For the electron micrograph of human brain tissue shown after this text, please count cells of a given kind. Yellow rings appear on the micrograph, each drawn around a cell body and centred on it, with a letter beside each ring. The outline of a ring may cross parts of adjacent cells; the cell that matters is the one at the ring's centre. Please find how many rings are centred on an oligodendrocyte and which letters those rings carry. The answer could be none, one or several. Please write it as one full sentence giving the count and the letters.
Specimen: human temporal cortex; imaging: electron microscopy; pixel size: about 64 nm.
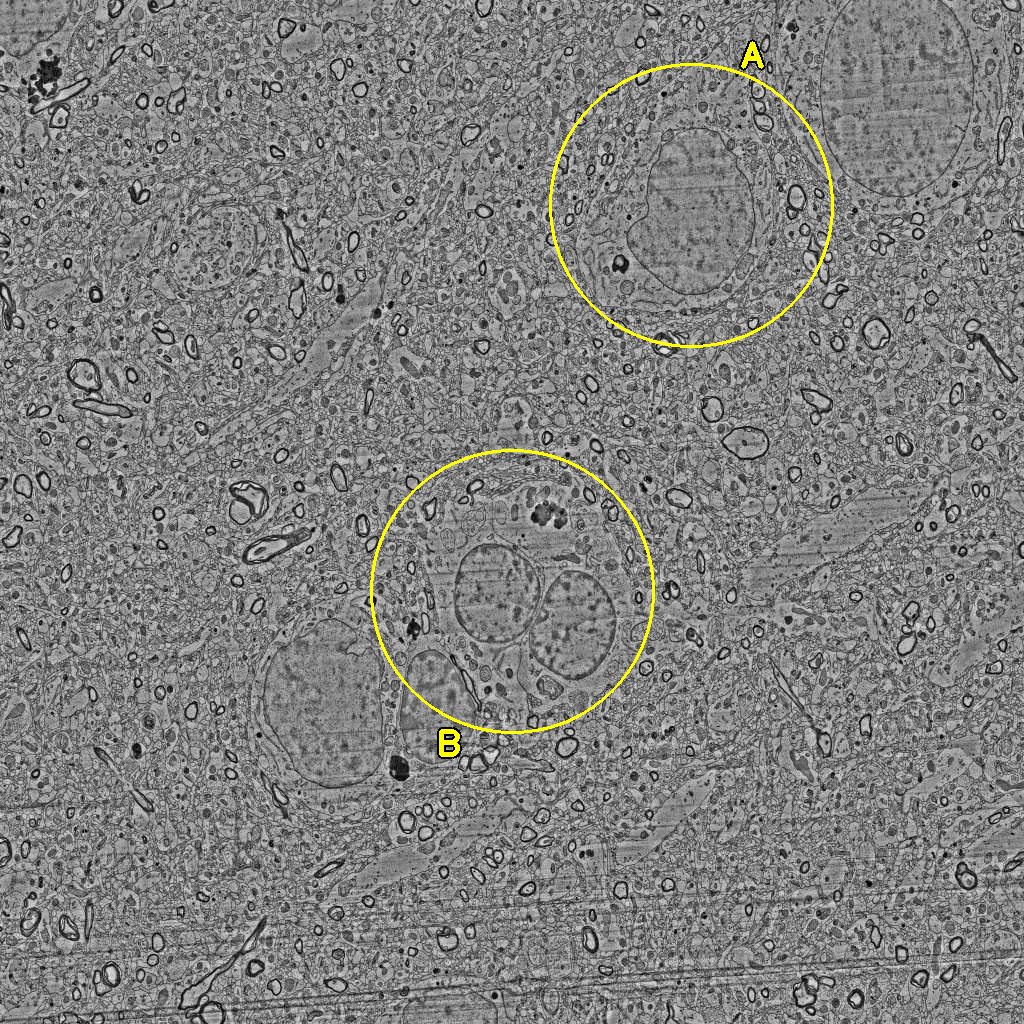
None of the rings picks out an oligodendrocyte as its centre, so the count is zero.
